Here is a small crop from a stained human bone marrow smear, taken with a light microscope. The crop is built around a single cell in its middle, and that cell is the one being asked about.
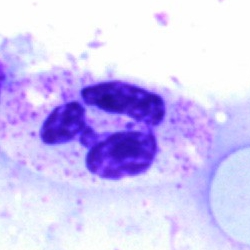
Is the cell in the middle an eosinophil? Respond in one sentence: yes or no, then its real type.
No, not an eosinophil but a neutrophil is the cell in the centre.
